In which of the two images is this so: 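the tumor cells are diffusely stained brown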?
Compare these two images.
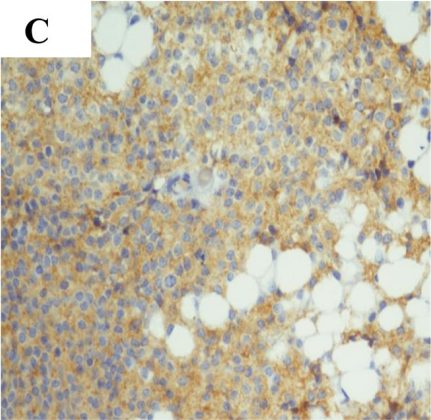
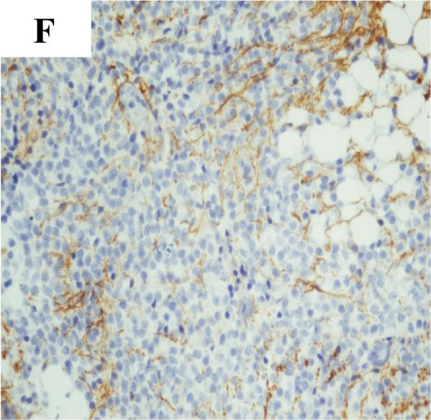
The first image.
